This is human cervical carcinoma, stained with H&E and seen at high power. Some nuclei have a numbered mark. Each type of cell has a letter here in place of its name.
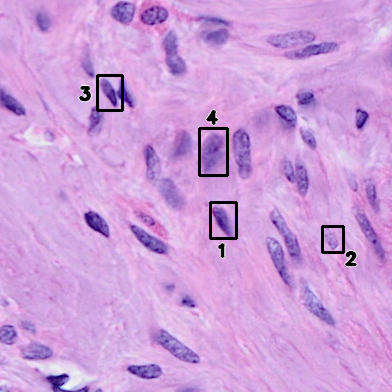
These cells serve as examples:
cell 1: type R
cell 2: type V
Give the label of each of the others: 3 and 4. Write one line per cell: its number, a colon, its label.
3: type R
4: type R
